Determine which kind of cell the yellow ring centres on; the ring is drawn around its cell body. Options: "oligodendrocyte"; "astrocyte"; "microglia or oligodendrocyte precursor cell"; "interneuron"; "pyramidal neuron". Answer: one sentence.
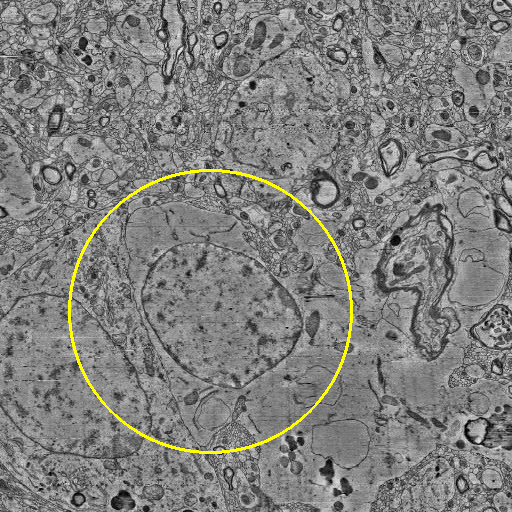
The ring centres on an astrocyte.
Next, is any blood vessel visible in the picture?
Yes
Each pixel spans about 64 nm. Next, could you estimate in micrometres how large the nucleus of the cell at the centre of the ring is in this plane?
Approximately 10 micrometres across, in this plane.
